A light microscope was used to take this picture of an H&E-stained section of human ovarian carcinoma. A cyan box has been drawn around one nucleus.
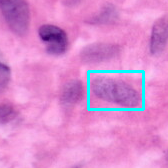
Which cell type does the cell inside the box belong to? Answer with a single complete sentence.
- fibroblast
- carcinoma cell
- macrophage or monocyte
The cell inside the box appears to be a fibroblast.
